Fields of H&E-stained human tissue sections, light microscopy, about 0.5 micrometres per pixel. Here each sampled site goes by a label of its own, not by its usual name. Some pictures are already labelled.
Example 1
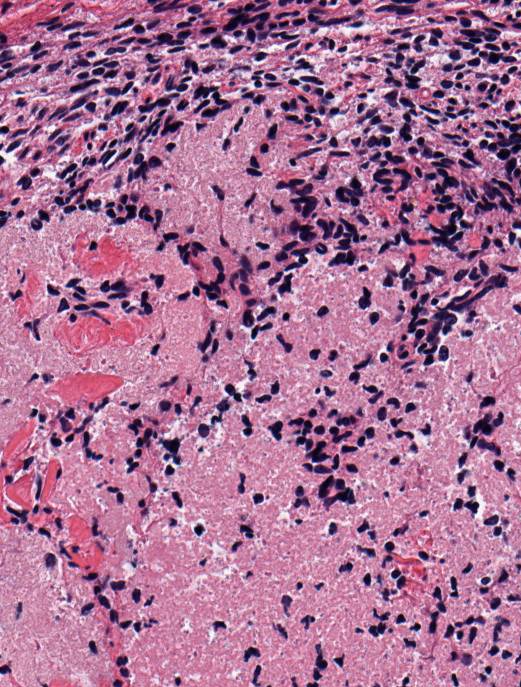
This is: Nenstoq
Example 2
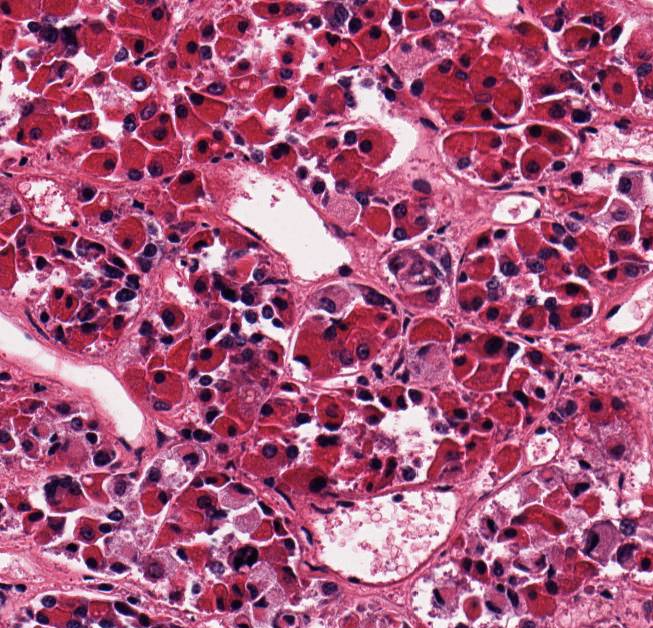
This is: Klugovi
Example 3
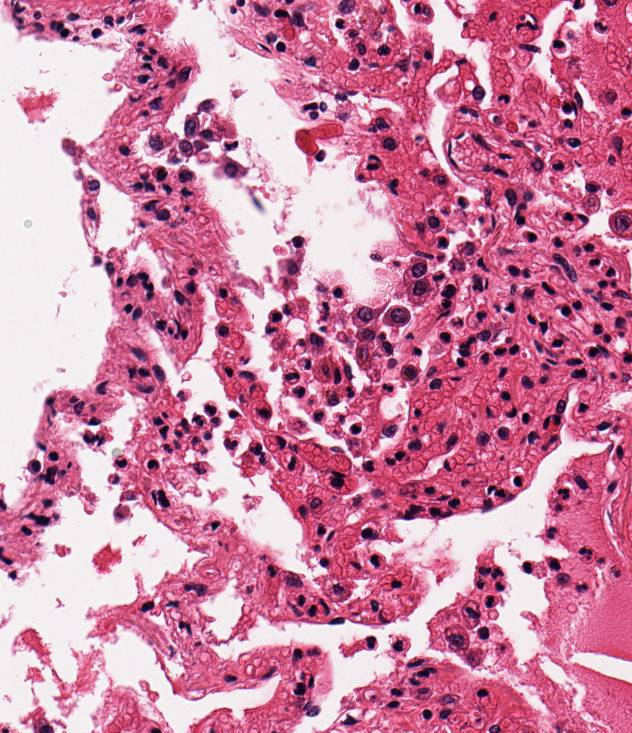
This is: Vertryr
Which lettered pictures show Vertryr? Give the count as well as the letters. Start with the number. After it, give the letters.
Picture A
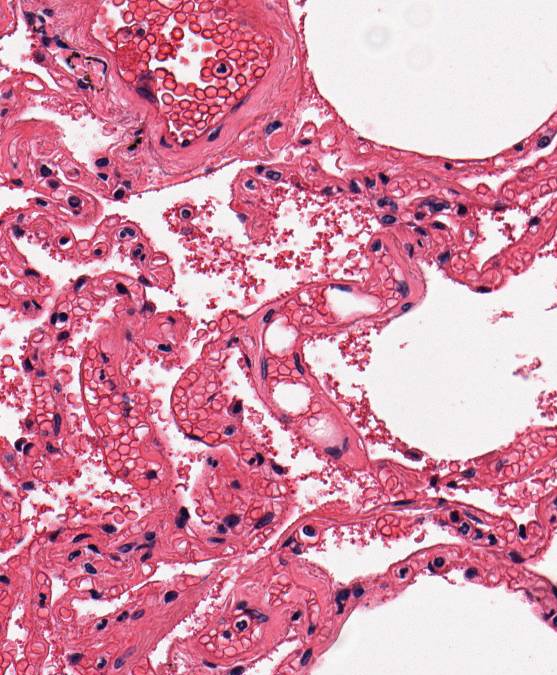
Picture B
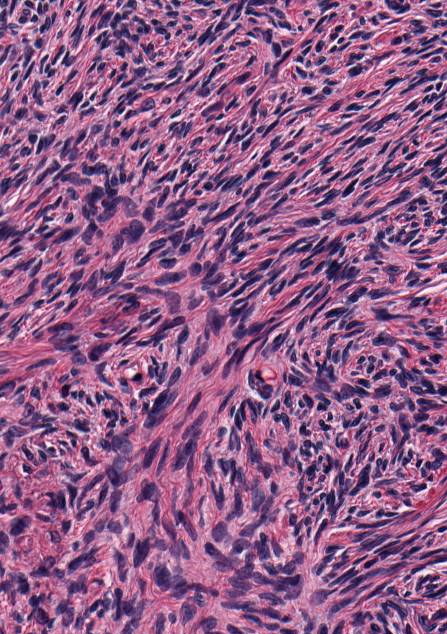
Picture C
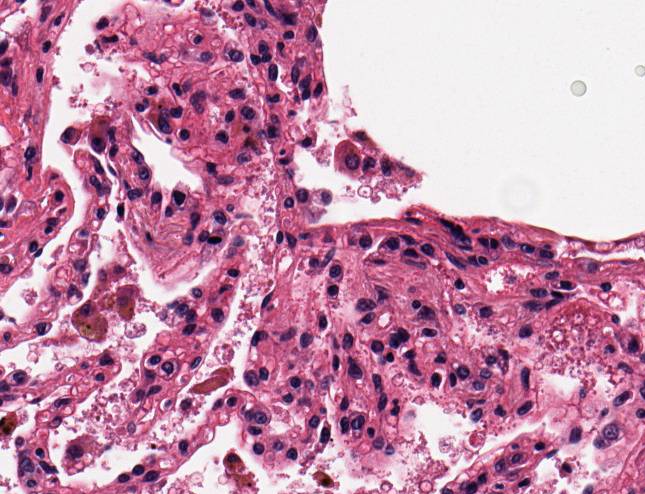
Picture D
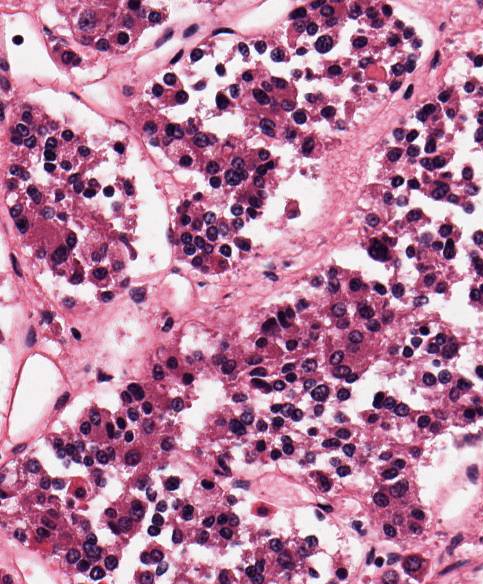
2: A, C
